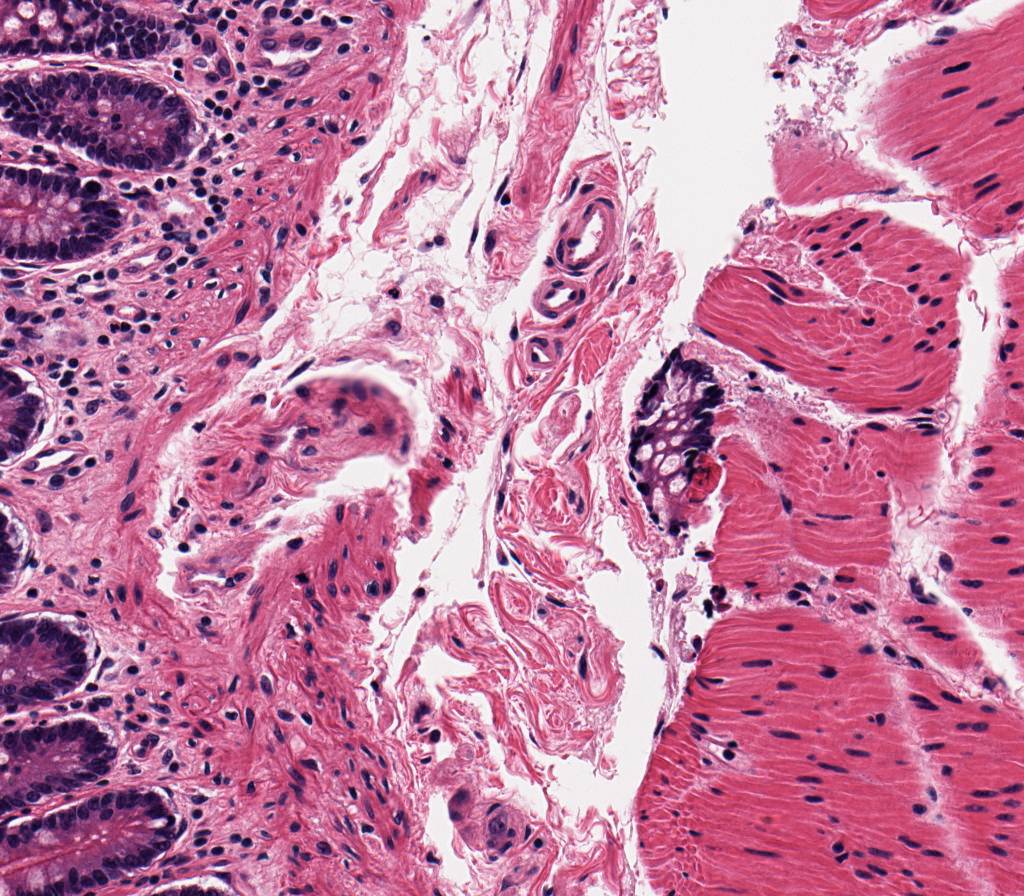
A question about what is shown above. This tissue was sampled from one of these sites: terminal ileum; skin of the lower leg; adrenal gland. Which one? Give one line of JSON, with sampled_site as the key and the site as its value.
{"sampled_site": "terminal ileum"}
